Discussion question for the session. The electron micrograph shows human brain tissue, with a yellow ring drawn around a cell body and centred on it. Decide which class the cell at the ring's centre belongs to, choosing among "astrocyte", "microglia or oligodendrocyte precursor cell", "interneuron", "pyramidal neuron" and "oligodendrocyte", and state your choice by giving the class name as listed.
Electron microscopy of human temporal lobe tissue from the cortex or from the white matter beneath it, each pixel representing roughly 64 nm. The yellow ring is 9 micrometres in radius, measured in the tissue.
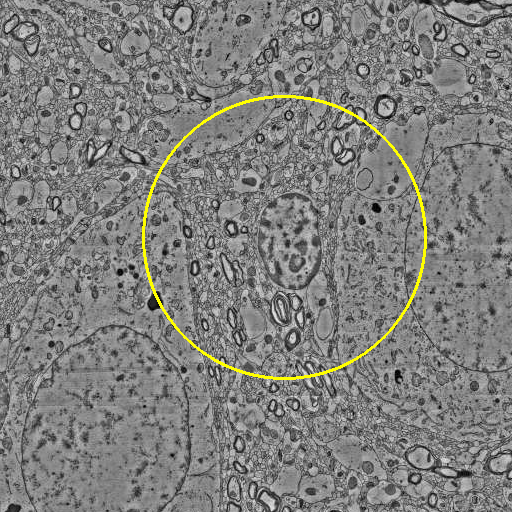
microglia or oligodendrocyte precursor cell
